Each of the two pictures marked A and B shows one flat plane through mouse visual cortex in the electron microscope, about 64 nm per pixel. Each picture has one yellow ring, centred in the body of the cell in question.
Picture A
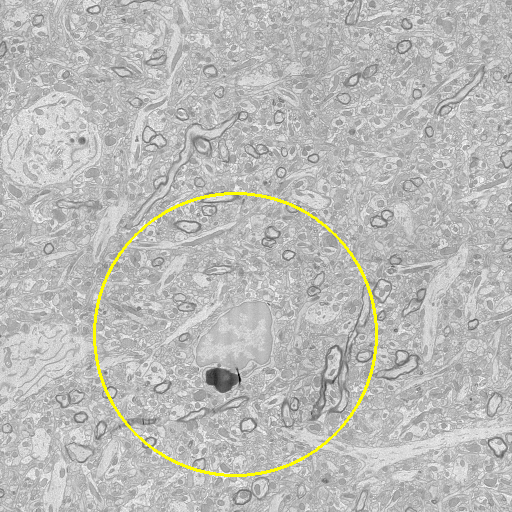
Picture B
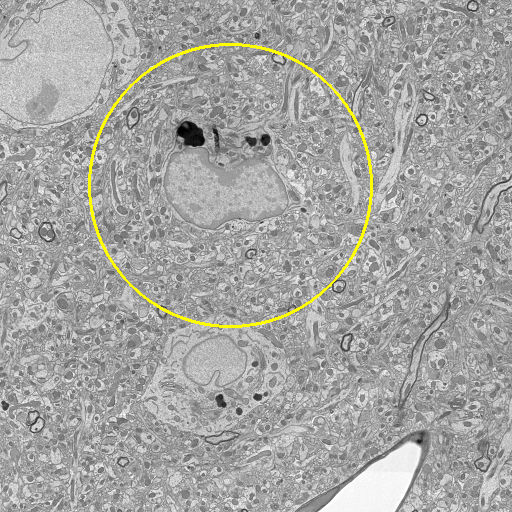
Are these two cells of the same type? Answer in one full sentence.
Yes; the cells in both pictures are microglial cells.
